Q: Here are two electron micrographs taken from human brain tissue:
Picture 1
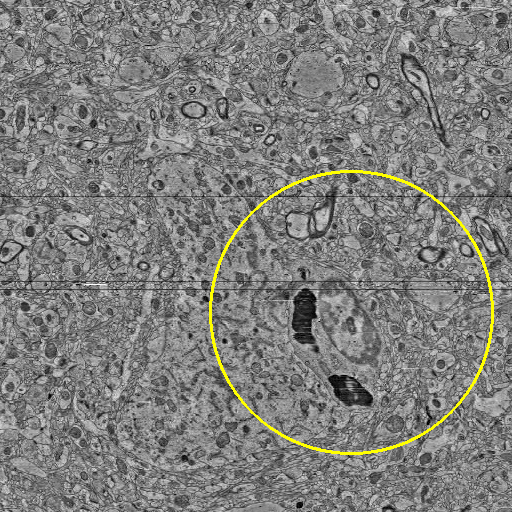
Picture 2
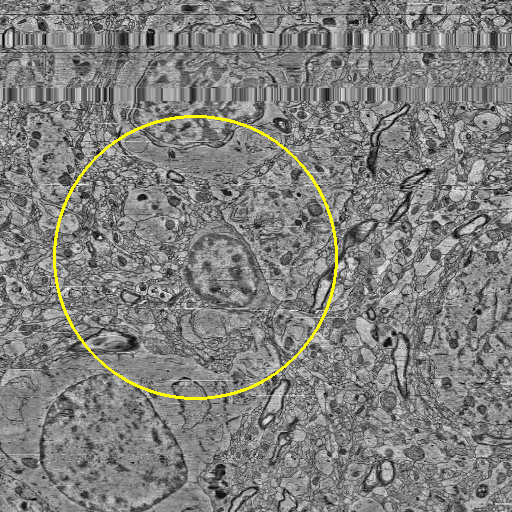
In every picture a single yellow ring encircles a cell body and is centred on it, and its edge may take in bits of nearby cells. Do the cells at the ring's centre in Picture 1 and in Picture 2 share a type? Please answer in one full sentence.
Yes, the cells at the ring's centre in Picture 1 and Picture 2 share a type.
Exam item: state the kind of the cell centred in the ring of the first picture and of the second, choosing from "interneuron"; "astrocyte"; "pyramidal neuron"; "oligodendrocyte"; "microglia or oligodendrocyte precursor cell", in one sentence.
Each of the two pictures has an oligodendrocyte at the ring centre.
